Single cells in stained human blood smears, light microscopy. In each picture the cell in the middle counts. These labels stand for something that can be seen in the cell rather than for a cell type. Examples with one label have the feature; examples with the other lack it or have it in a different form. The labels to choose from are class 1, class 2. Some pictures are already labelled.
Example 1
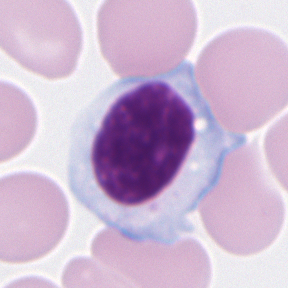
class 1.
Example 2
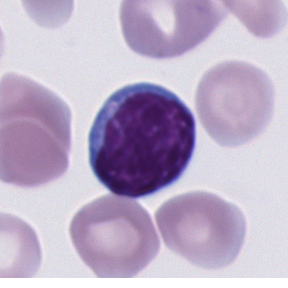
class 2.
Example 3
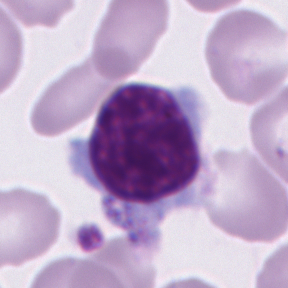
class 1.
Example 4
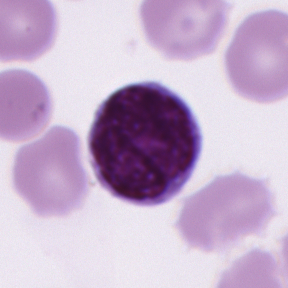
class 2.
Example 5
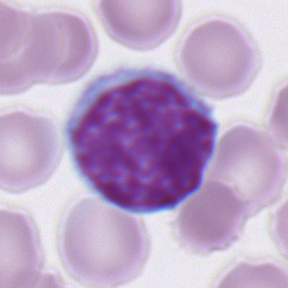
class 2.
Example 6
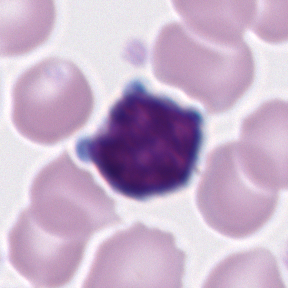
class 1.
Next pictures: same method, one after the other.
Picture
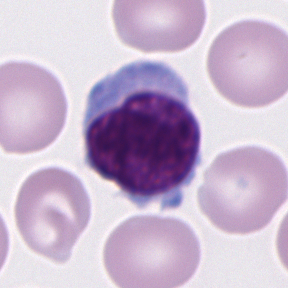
class 1.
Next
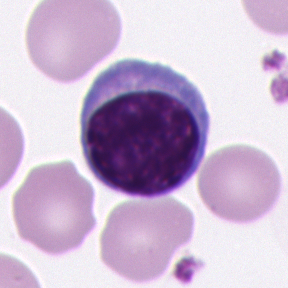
class 2.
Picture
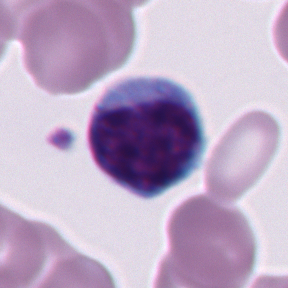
class 2.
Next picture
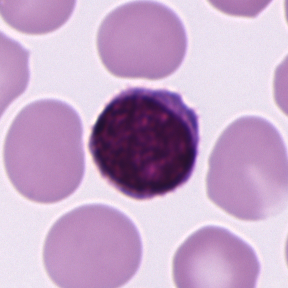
class 1.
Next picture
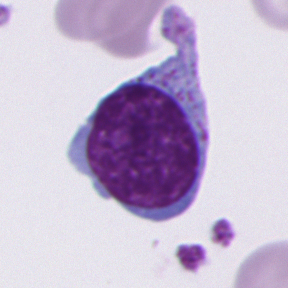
class 1.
